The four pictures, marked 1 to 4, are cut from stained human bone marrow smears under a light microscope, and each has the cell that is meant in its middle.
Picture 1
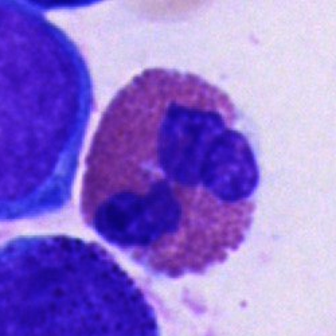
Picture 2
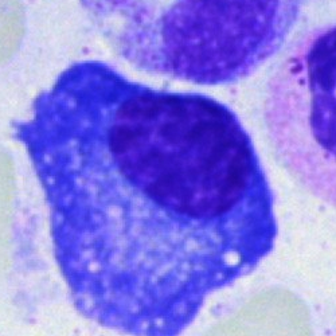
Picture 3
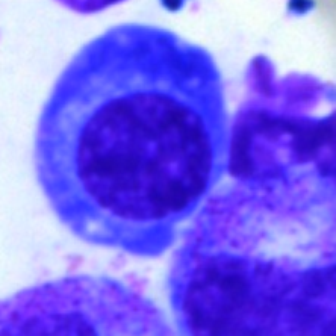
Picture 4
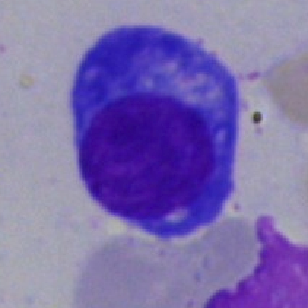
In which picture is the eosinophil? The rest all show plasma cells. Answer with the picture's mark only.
1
